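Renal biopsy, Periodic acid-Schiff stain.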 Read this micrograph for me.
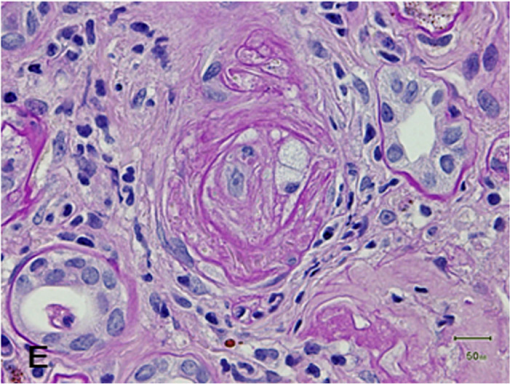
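A small artery of the kidney occupies the centre, its wall made of concentric magenta-lined layers that have closed the lumen almost entirely, with a few pale, vacuolated cells in its middle. Around it lie tubules lined by cuboidal epithelial cells with round nuclei and magenta basement membranes, and interstitium with scattered nuclei.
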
